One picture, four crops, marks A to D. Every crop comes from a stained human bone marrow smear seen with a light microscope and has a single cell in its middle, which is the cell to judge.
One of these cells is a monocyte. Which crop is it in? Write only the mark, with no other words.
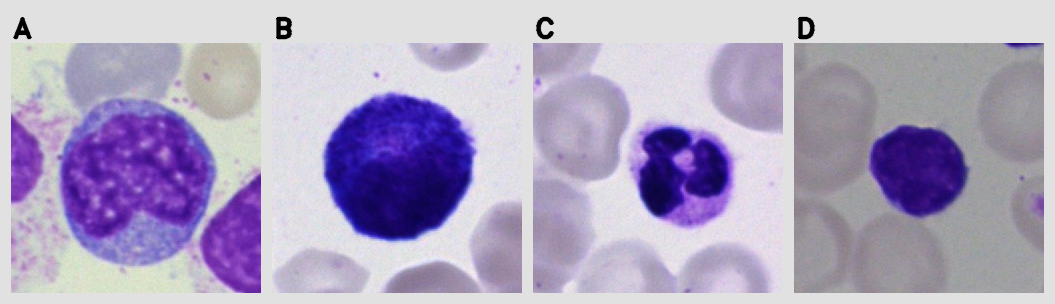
A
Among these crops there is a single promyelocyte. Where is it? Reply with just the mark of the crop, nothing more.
B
